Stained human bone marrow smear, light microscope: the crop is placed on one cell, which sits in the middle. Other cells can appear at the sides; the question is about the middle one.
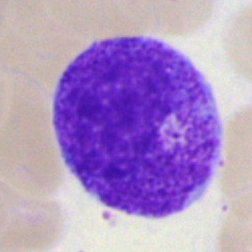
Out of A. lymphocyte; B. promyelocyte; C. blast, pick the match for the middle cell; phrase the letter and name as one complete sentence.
Option B is accurate; the centrally placed cell is a promyelocyte.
